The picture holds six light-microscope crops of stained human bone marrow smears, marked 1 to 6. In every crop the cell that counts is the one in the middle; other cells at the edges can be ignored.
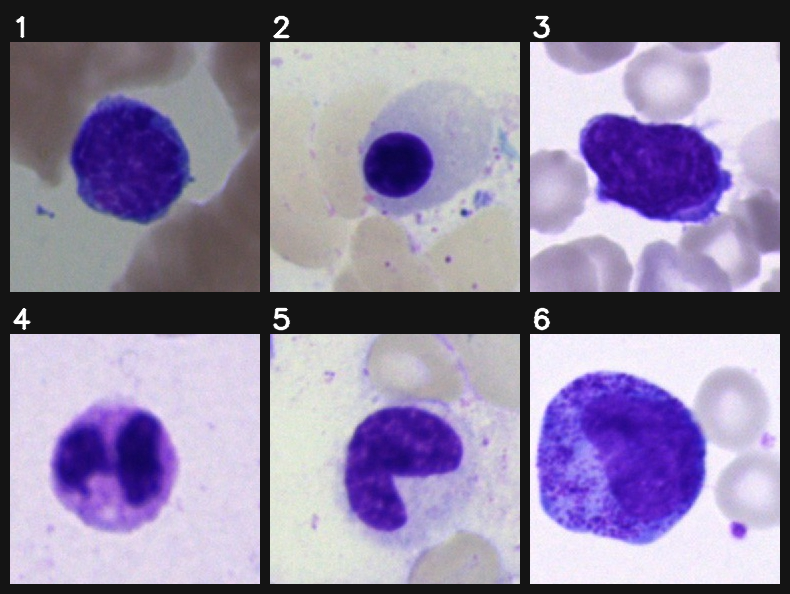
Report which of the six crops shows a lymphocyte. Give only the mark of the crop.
3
